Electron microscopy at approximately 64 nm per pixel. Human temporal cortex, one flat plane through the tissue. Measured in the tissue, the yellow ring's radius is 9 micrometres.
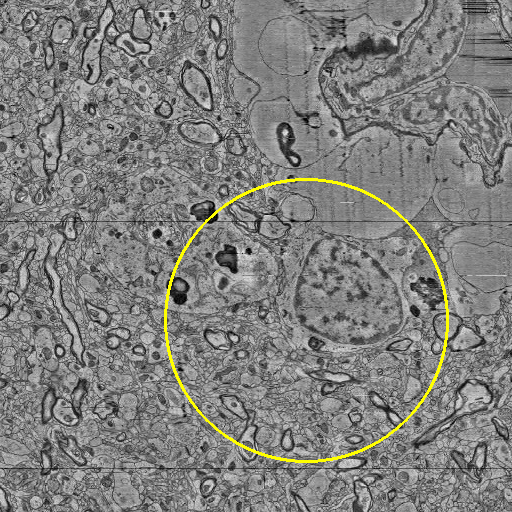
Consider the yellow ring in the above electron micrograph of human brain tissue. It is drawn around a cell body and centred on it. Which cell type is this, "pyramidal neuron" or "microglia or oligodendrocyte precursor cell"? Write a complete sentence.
The cell in question is a microglial cell or oligodendrocyte precursor cell.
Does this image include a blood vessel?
Yes.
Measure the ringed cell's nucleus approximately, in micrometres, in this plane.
Approximately 8 by 6 micrometers in this plane.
